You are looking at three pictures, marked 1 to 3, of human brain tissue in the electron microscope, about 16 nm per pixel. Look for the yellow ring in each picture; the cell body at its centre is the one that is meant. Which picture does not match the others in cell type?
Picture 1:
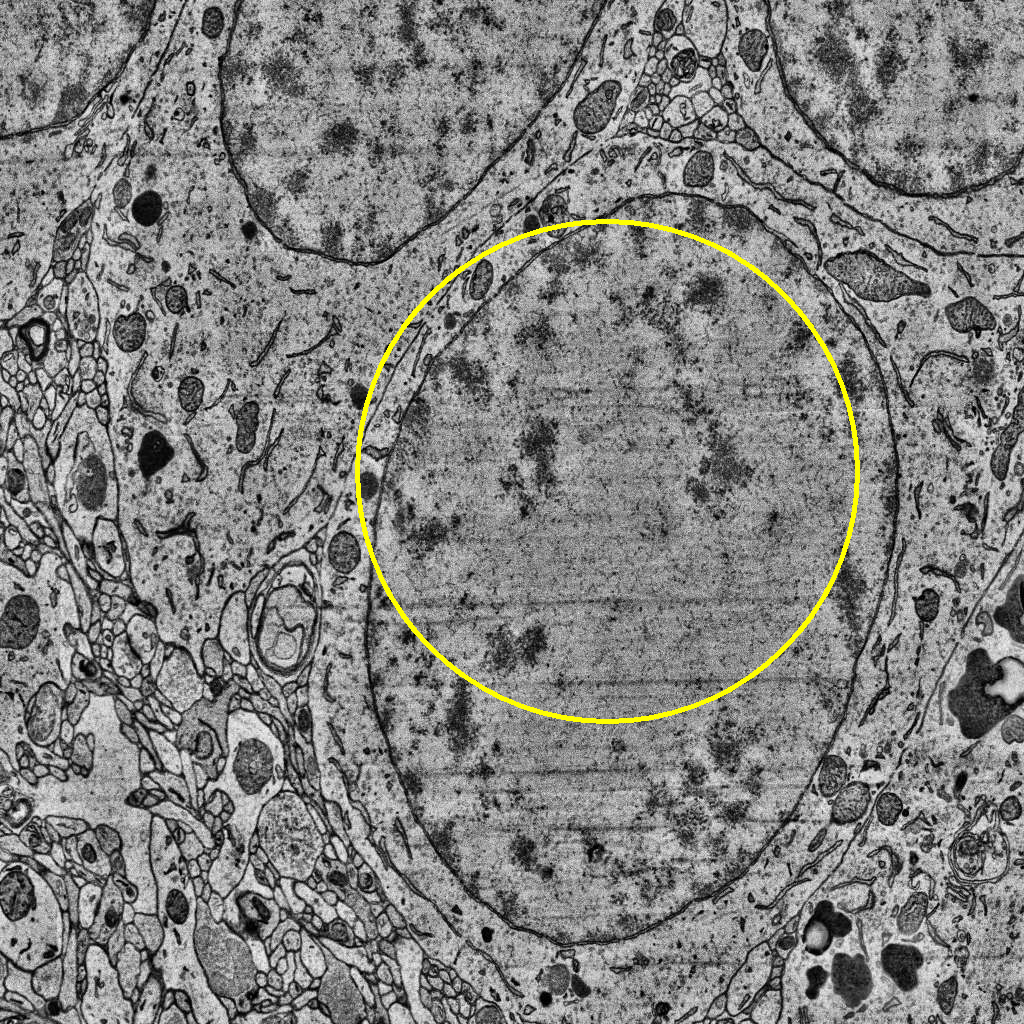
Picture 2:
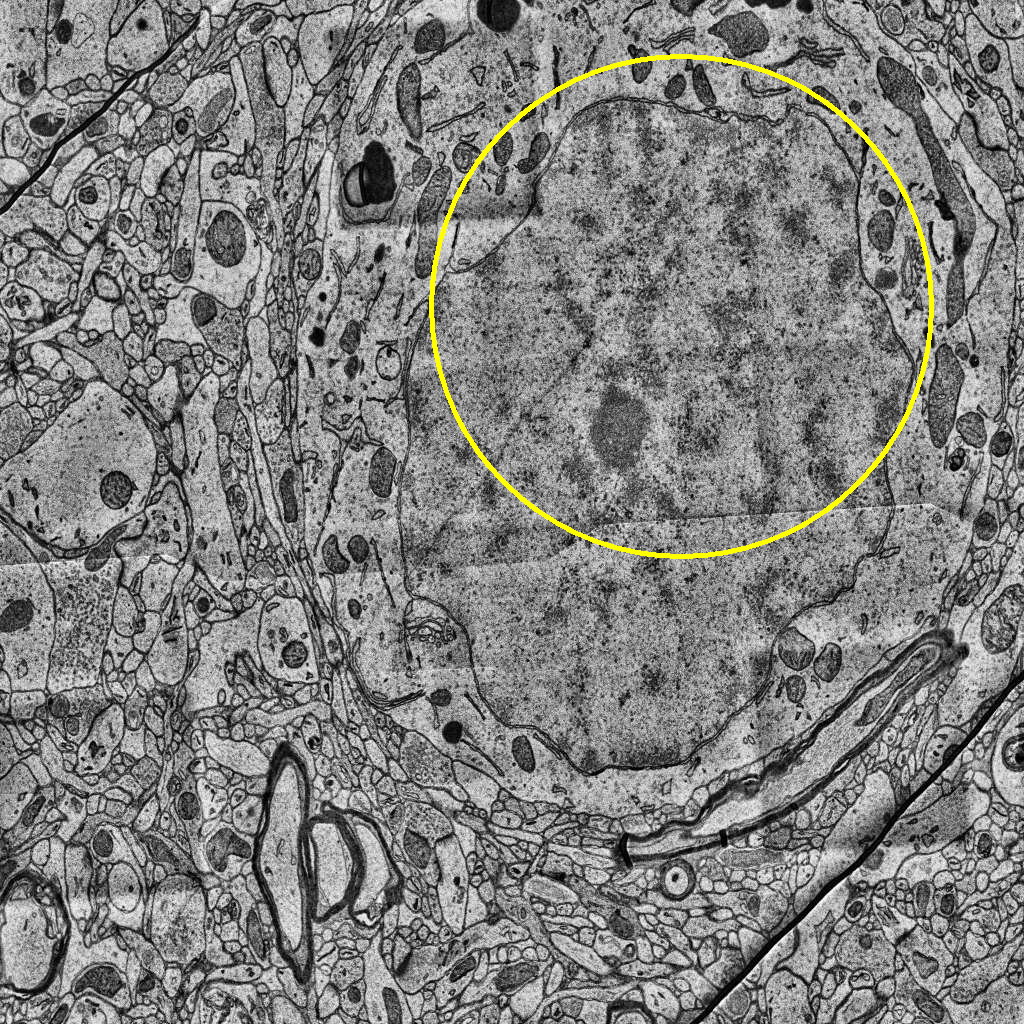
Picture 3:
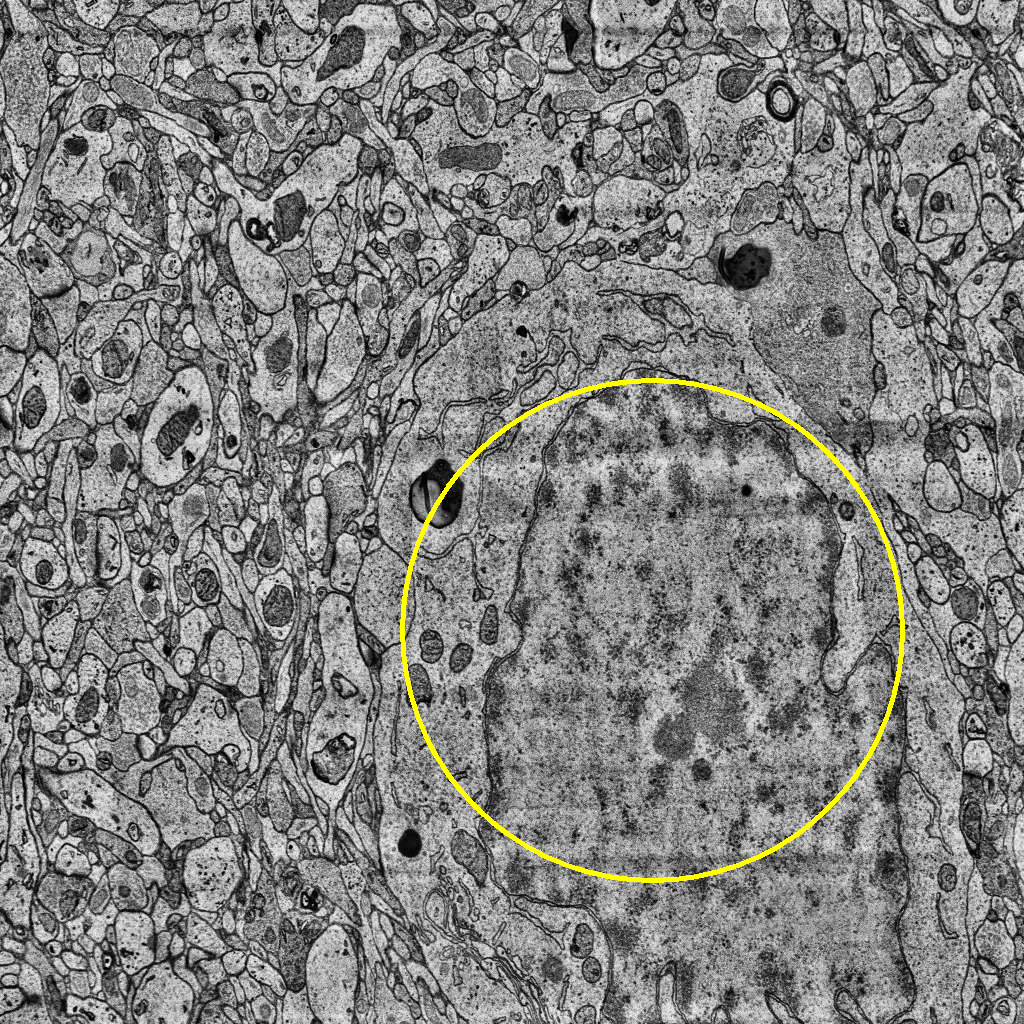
Picture 1 differs, because its cell is a pyramidal neuron and the rest are interneurons.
